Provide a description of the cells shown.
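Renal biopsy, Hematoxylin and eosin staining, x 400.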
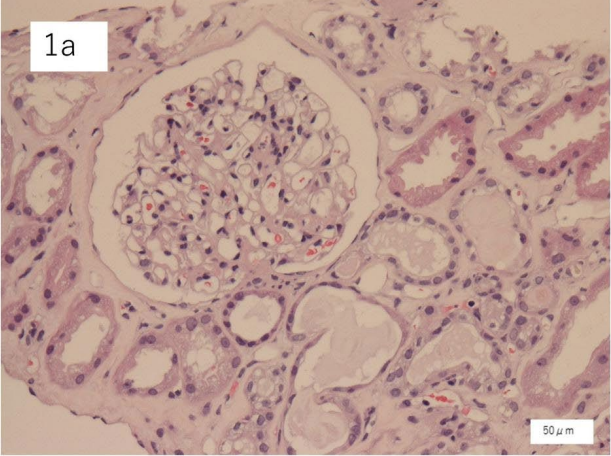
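This kidney section shows a glomerulus at the upper left surrounded by cross-sectioned tubules. The glomerular tuft is made of open capillary loops, some containing red blood cells, with dark purple nuclei scattered through the tuft. A clear space separates the tuft from the thin surrounding capsule. The nearby tubules have pink cytoplasm and round dark nuclei, and many have low, thin lining cells around open lumens. Several tubular lumens contain pale pink, homogeneous material.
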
